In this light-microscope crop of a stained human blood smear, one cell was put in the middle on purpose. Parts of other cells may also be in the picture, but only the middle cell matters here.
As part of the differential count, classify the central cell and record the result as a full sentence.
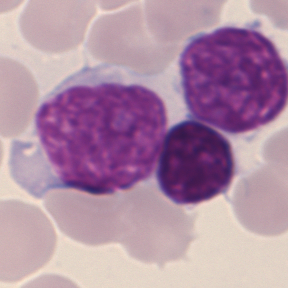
The single cell at the center of the crop is a myeloblast.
